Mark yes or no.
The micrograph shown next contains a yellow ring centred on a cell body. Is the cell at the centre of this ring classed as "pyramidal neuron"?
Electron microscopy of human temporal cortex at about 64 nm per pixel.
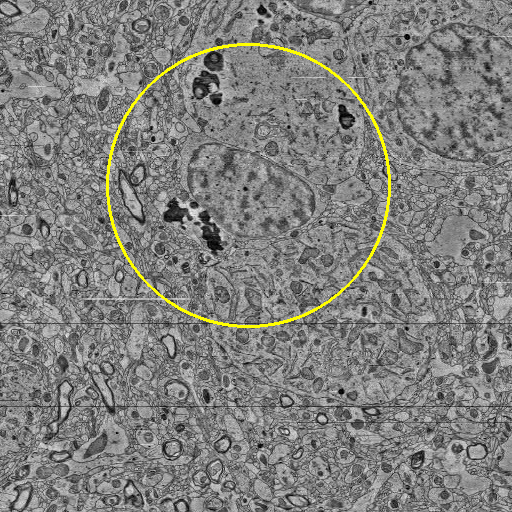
no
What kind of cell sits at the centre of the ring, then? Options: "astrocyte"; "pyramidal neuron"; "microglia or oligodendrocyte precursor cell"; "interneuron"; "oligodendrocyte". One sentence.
Instead, the picture shows an oligodendrocyte at the centre of the ring.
